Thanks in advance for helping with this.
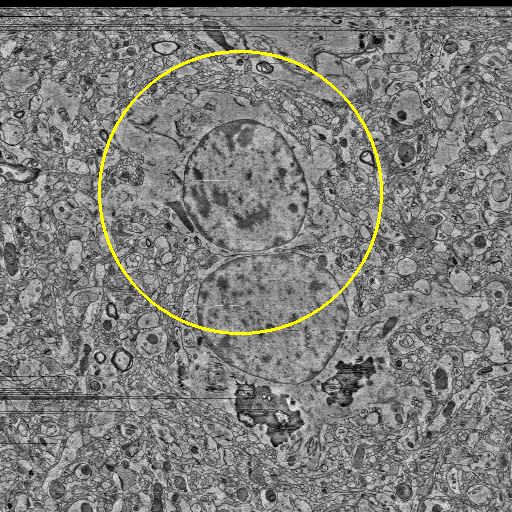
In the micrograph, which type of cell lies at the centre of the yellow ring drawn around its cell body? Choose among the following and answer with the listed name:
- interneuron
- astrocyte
astrocyte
